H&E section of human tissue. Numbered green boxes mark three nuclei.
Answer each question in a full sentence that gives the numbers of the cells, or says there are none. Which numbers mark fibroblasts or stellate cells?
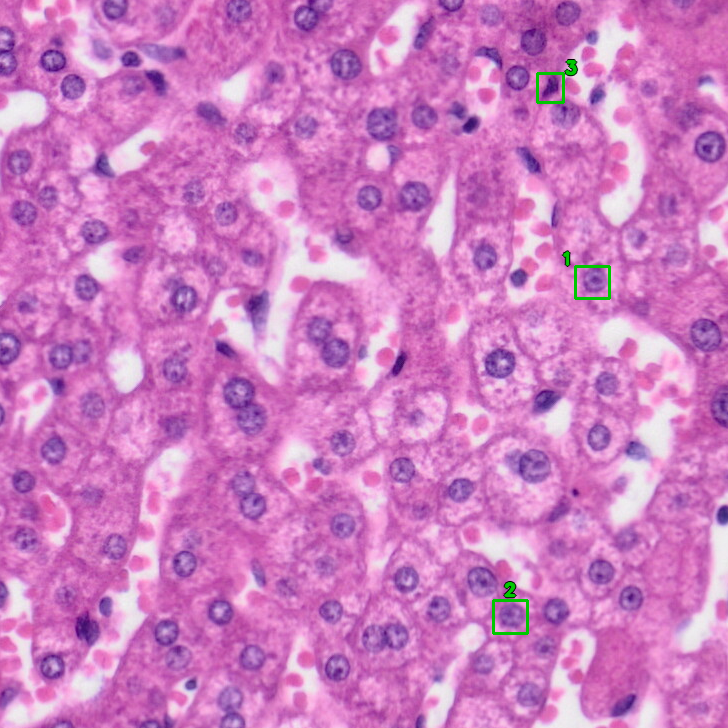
Cell 3 is a fibroblast or stellate cell; the remaining numbered cells are not.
